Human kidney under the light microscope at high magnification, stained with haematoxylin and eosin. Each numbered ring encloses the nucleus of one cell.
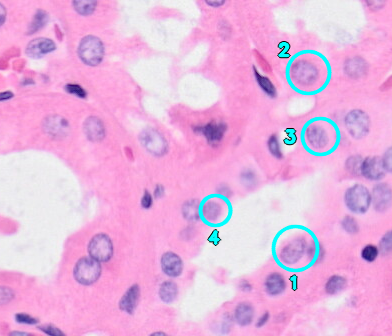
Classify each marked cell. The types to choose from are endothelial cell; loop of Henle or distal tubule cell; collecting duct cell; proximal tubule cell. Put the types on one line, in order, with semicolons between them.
collecting duct cell; proximal tubule cell; collecting duct cell; collecting duct cell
